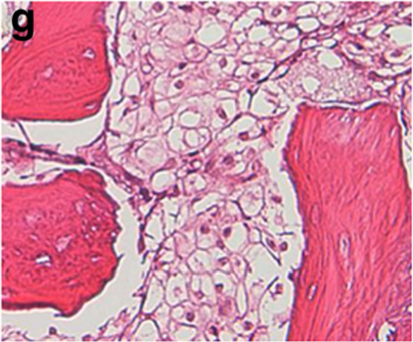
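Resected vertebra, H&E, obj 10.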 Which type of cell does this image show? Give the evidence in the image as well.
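Sheets of rounded cells with clear, empty-looking cytoplasm. Cells resemble fat cells and fill the spaces between bone.
Adipocyte-like cells.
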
